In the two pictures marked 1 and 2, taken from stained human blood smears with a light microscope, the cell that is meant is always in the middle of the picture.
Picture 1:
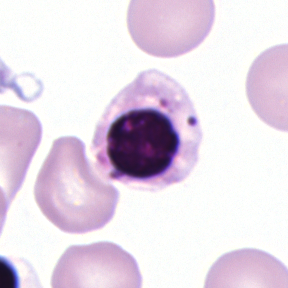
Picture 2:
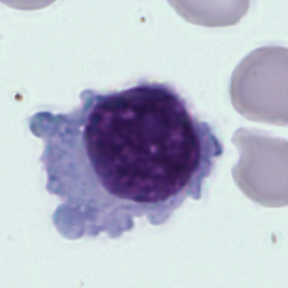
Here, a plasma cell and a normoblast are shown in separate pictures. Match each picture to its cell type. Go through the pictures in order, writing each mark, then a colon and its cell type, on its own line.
1: normoblast
2: plasma cell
